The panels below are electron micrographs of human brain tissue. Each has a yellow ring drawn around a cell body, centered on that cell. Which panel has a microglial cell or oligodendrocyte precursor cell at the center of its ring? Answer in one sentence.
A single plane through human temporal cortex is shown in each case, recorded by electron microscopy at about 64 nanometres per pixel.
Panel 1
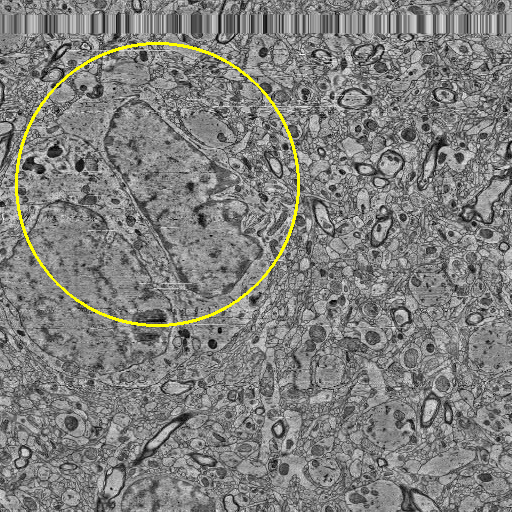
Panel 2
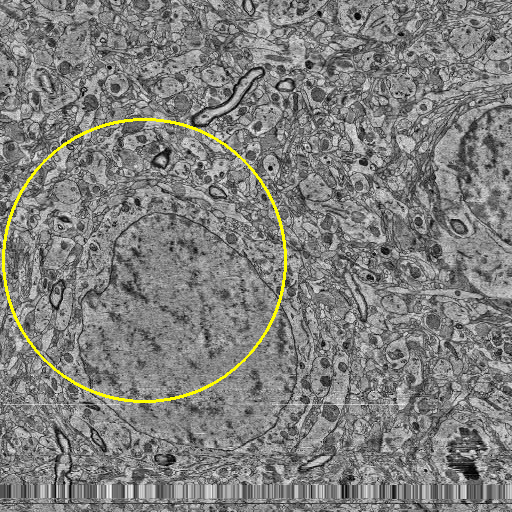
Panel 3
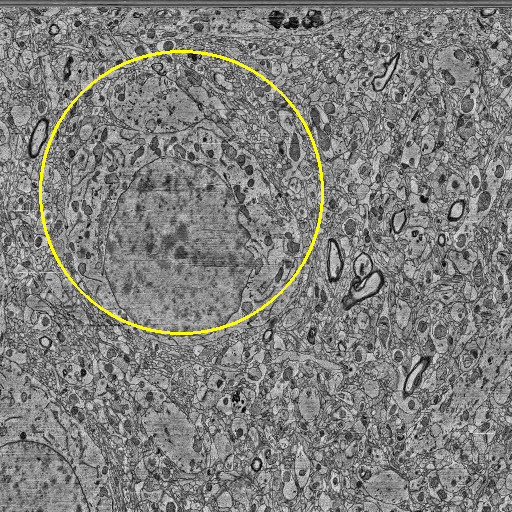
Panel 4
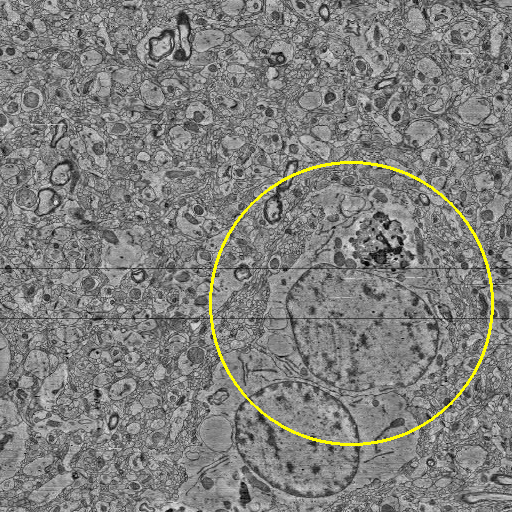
Panel 1 has it at the center of its ring.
